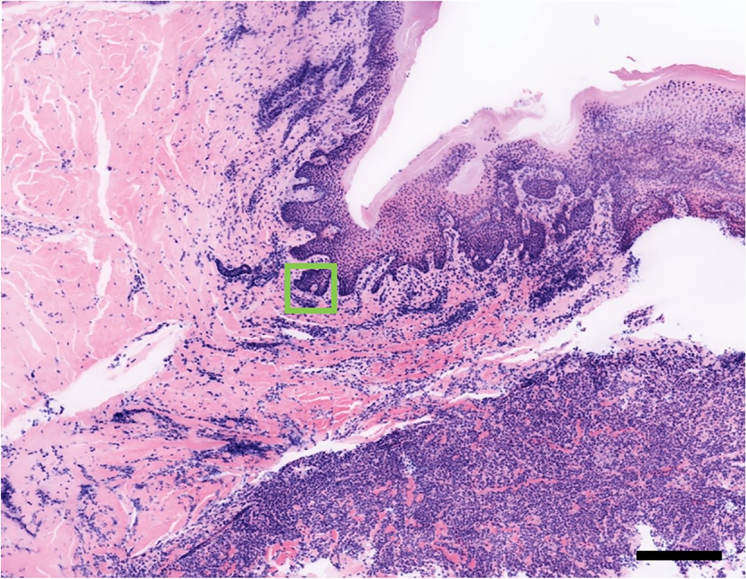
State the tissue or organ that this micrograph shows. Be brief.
Skin.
